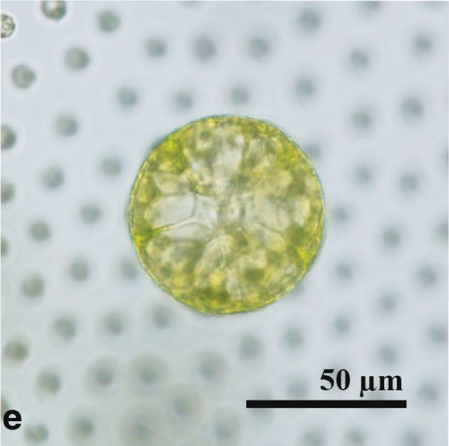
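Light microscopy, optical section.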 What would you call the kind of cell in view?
gonidium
